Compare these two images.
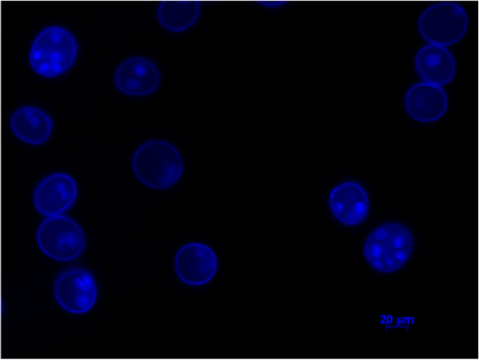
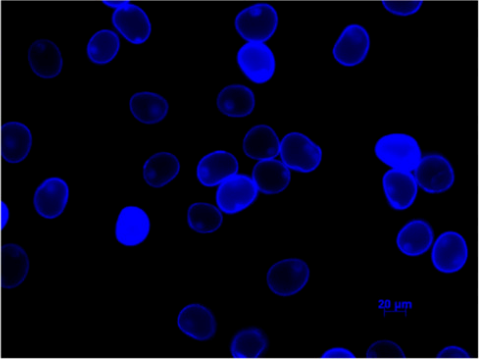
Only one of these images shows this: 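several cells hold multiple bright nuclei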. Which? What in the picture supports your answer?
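Second image: cells show a bright wall and at most one small blue spot inside. First image: several rounded cells contain two or more bright blue spots.
Answer: the first image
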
